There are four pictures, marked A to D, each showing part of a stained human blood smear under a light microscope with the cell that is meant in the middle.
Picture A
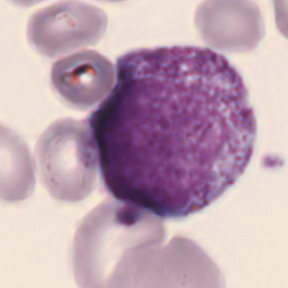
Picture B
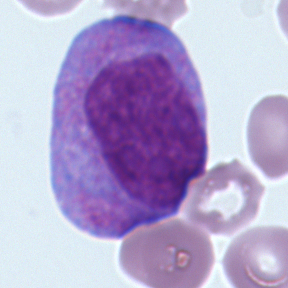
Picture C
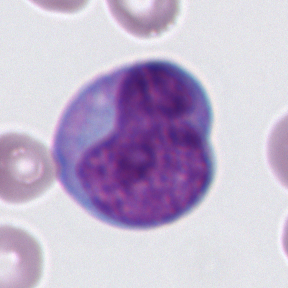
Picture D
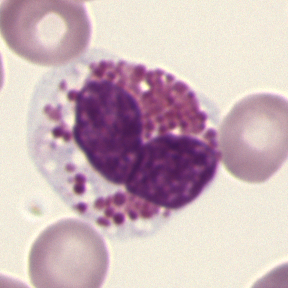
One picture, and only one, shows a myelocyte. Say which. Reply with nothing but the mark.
A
